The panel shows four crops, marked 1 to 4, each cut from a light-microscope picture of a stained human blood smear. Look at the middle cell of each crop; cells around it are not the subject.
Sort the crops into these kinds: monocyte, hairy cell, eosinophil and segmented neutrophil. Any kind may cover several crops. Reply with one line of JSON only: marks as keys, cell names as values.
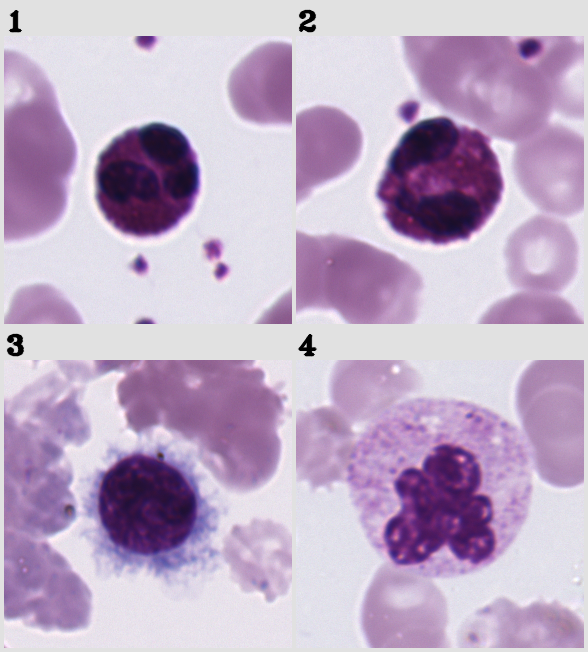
{"1": "eosinophil", "2": "eosinophil", "3": "hairy cell", "4": "segmented neutrophil"}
